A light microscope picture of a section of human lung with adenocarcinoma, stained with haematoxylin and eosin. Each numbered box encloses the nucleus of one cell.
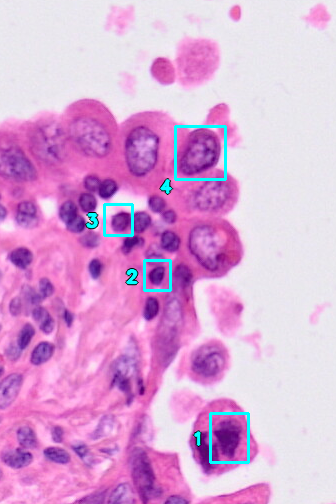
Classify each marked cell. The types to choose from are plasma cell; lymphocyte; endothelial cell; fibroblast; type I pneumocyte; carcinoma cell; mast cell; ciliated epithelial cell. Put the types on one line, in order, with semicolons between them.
carcinoma cell; lymphocyte; lymphocyte; carcinoma cell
